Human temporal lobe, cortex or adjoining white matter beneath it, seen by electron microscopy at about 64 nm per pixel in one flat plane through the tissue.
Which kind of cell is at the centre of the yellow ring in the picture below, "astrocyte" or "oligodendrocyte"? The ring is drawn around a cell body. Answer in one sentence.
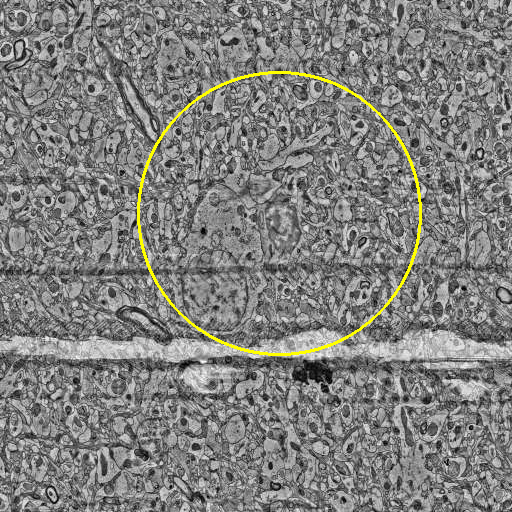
The ring's central cell is an oligodendrocyte.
